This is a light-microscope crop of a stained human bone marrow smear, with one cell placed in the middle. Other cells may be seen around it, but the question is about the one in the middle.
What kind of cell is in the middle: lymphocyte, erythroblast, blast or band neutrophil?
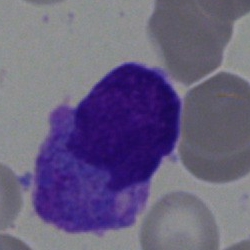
blast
